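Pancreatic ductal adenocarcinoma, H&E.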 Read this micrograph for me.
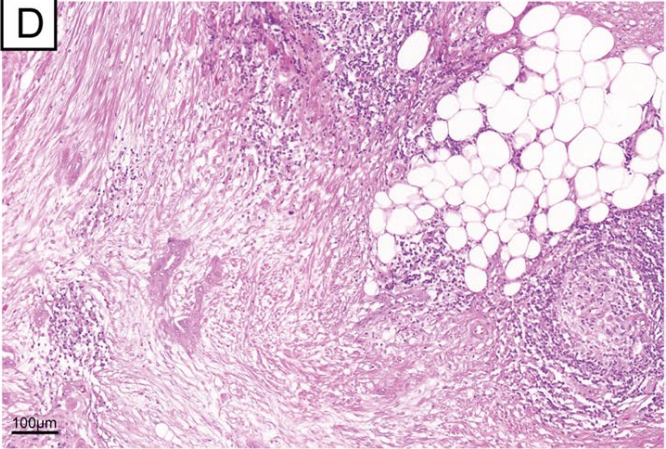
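A lobule of fat cells, empty round spaces with thin membranes, sits in the upper right, and around it the tissue is dominated by wavy, pale pink bundles of fibrous stroma containing slender spindle-shaped nuclei. Dense collections of small, dark, round nuclei of inflammatory cells gather along the fat and in patches within the stroma, including a rounded concentric aggregate lower right. The fibrous tissue forms a broad barrier, so no cellular tumour tissue touches the fat directly. This is desmoplastic tumour stroma separating the carcinoma from the surrounding fatty tissue.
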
